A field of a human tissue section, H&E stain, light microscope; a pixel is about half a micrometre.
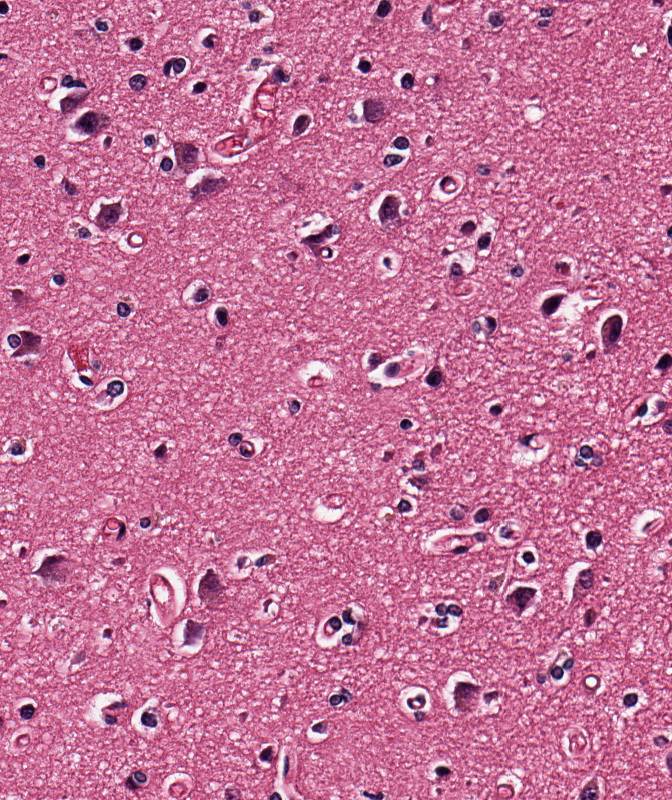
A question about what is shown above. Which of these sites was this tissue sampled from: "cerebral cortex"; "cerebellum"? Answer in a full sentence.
The site this tissue was sampled from is the cerebral cortex.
